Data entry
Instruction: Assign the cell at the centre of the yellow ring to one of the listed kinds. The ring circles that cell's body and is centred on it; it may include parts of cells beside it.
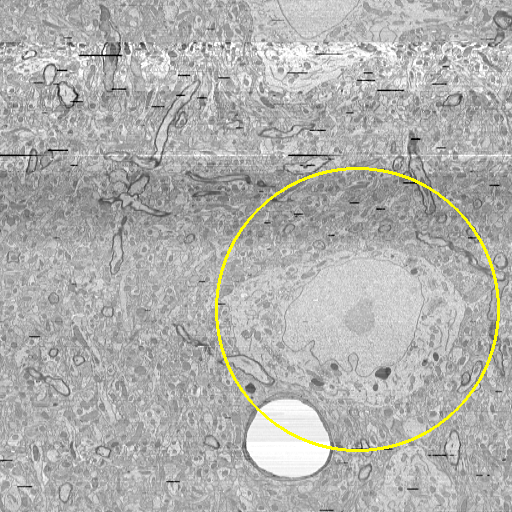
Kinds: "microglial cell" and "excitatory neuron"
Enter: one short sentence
The centre of the ring falls on an excitatory neuron.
